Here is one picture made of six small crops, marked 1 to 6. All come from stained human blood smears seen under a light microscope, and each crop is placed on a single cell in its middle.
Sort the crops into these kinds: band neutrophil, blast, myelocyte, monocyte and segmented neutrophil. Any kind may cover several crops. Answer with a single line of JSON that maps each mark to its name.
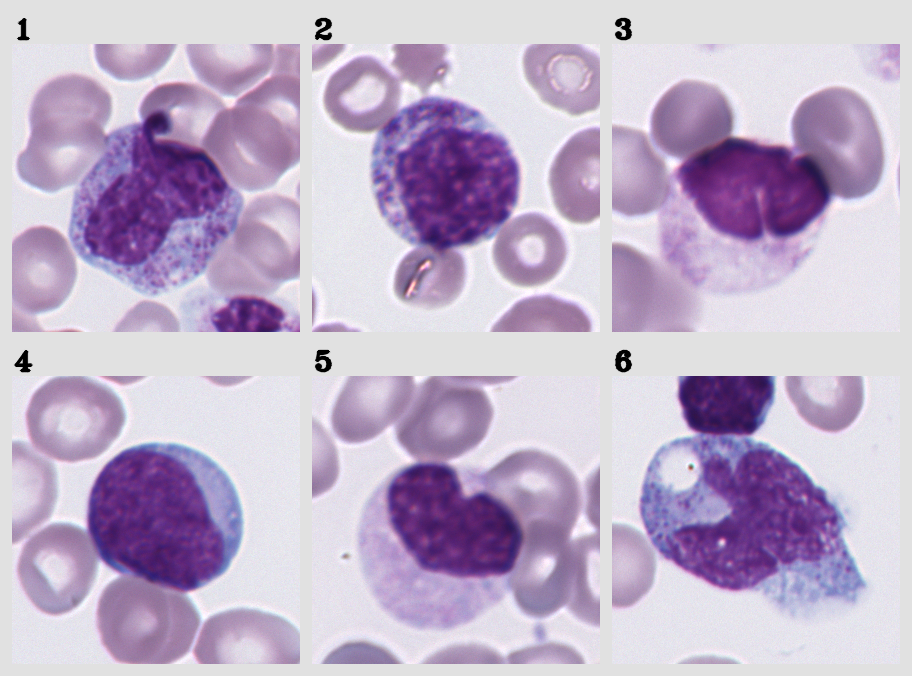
{"1": "myelocyte", "2": "myelocyte", "3": "band neutrophil", "4": "blast", "5": "band neutrophil", "6": "monocyte"}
